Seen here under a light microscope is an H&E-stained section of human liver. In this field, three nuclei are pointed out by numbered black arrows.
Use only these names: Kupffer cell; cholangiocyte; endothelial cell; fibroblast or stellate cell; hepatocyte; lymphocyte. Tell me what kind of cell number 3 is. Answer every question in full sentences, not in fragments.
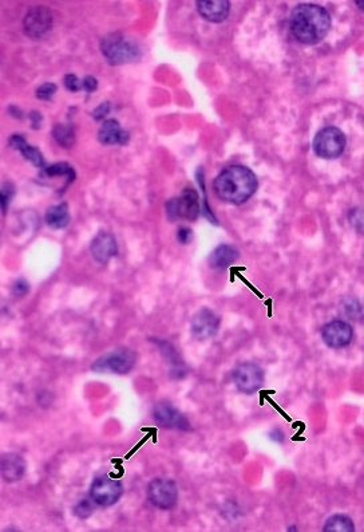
The mark numbered 3 indicates the nucleus of a fibroblast or stellate cell.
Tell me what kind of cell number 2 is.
Here the cell numbered 2 is a hepatocyte.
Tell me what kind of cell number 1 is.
Marked with the number 1, this cell is a Kupffer cell.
